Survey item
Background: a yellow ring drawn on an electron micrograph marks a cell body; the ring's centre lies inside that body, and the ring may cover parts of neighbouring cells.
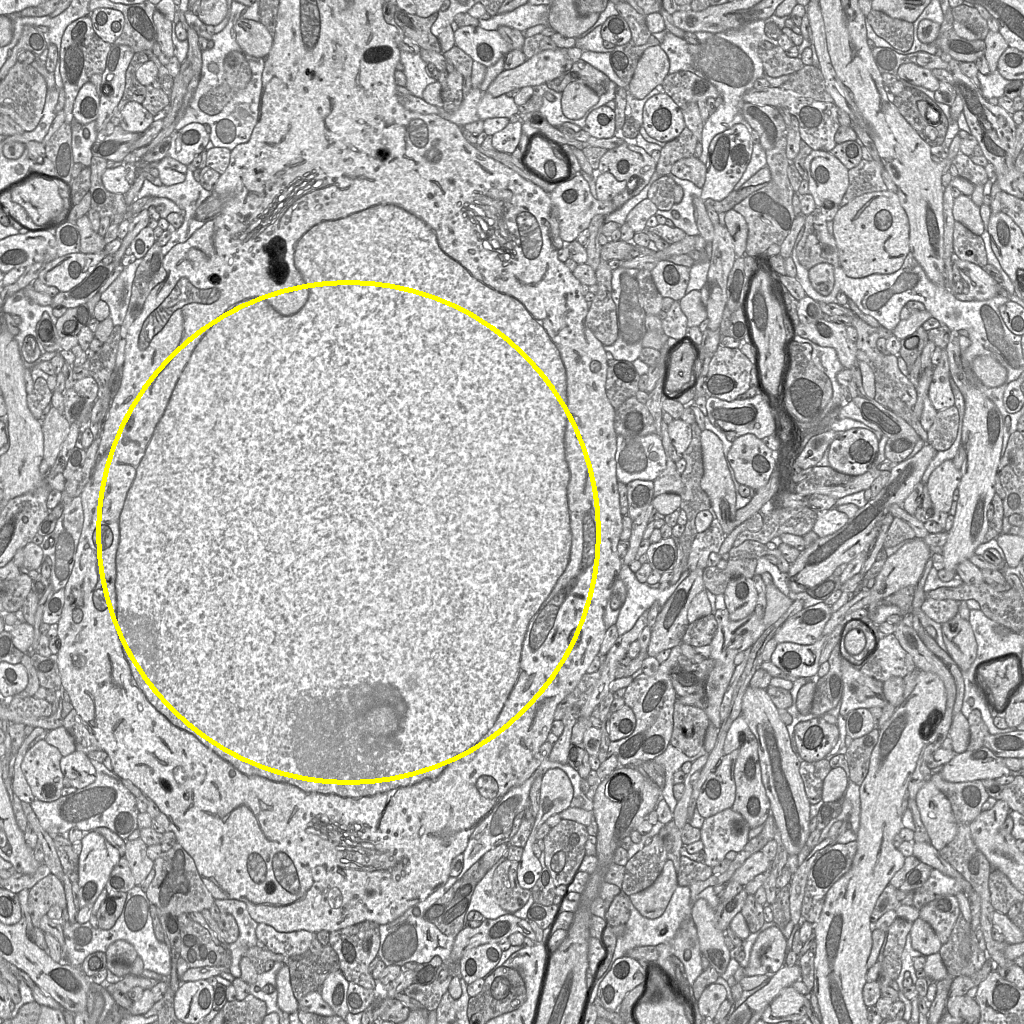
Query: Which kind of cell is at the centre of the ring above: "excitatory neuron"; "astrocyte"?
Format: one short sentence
The cell in the middle of the ring is an excitatory neuron.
